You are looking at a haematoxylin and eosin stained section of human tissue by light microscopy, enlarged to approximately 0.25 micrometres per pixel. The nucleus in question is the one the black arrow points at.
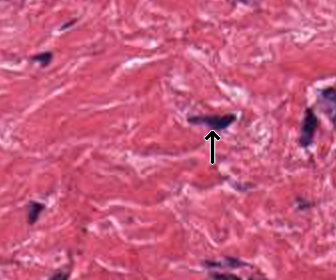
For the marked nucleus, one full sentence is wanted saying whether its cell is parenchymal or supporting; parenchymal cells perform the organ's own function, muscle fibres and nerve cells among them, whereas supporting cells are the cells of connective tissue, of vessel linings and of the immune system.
Belonging to a supporting cell is the nucleus that is marked.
